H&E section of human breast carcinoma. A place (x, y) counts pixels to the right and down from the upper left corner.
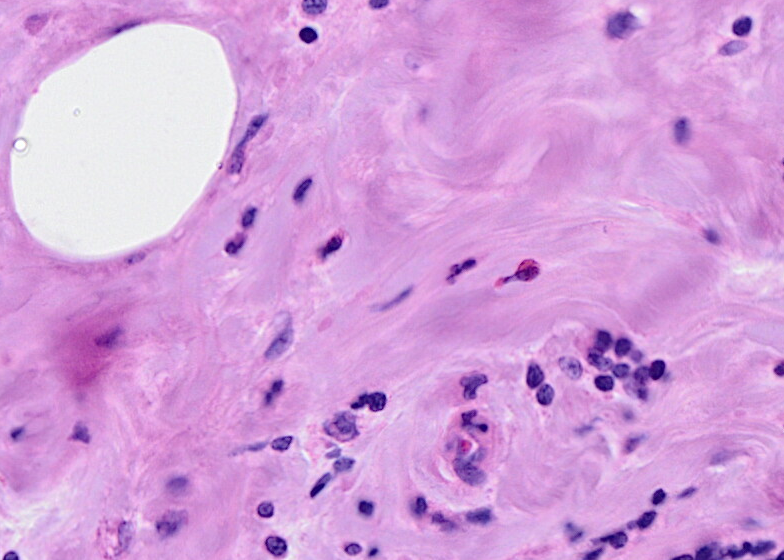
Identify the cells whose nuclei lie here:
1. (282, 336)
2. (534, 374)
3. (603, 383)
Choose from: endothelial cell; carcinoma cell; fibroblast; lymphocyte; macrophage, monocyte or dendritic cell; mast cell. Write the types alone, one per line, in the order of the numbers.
fibroblast
lymphocyte
lymphocyte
